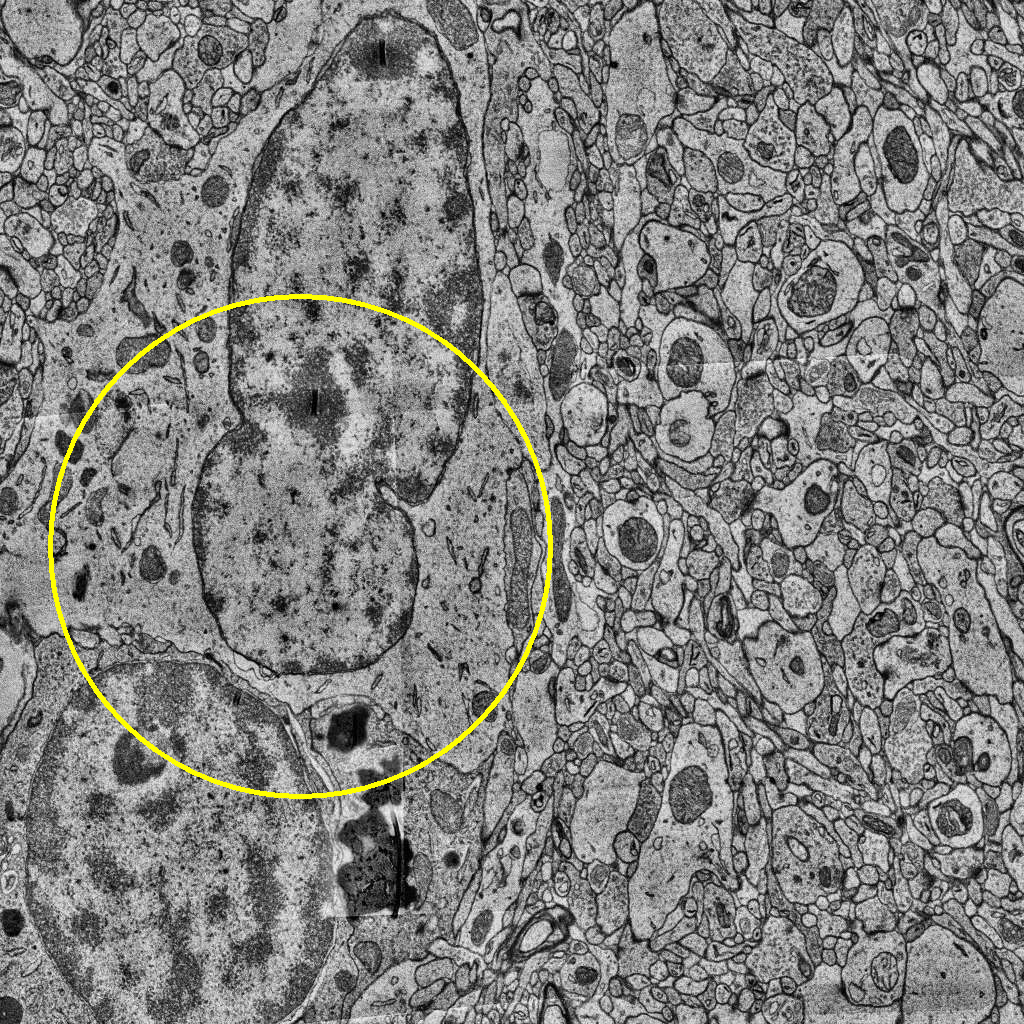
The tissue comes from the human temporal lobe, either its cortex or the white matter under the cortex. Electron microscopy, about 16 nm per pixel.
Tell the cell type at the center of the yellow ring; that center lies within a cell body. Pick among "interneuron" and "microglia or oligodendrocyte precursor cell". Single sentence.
The ring's center lies in the body of a microglial cell or oligodendrocyte precursor cell.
